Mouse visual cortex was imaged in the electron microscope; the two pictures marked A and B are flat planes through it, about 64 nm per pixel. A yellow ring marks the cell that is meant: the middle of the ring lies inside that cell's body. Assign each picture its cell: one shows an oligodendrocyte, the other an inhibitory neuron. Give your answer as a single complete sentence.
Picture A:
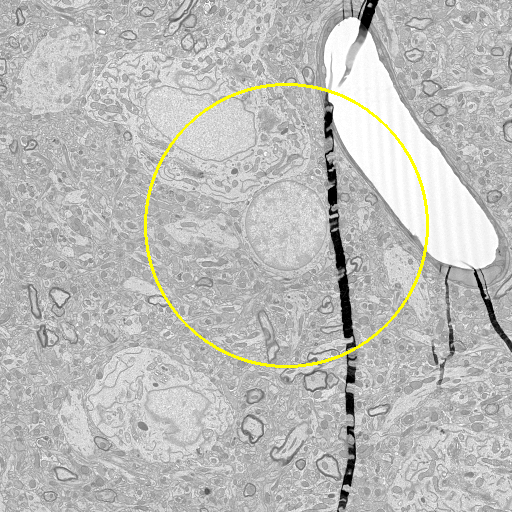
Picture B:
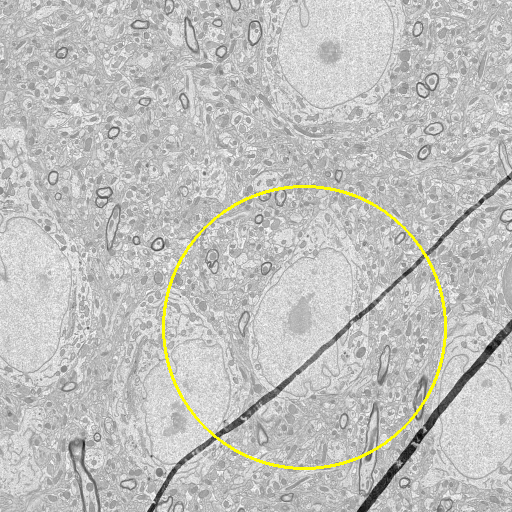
Picture A is of an oligodendrocyte, and picture B is of an inhibitory neuron.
